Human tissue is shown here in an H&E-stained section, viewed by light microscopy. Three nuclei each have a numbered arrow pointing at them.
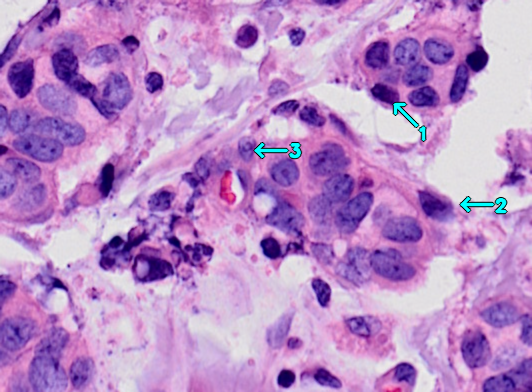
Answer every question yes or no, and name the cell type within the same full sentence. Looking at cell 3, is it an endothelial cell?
Yes, the cell that bears the number 3 is an endothelial cell.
